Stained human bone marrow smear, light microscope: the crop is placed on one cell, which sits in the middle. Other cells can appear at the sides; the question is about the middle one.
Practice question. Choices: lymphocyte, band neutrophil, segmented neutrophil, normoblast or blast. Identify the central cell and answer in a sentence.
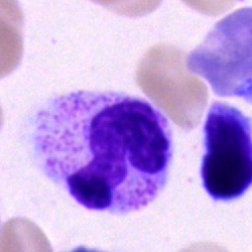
This crop has a segmented neutrophil at its centre.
